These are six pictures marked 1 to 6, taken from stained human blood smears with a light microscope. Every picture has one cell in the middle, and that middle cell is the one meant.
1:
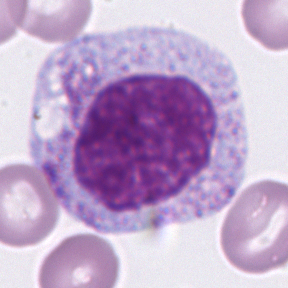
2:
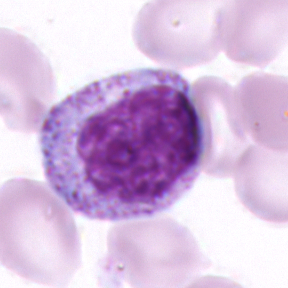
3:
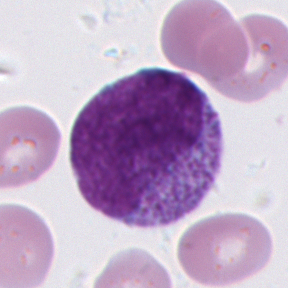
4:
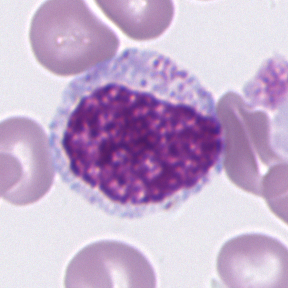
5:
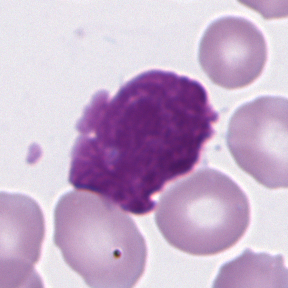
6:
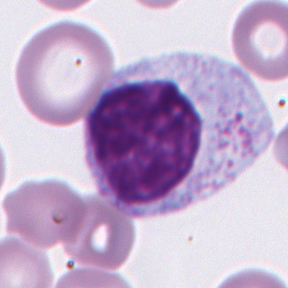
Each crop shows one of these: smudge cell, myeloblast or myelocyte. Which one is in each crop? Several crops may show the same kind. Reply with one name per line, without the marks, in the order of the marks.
myelocyte
myelocyte
myelocyte
myelocyte
smudge cell
myelocyte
